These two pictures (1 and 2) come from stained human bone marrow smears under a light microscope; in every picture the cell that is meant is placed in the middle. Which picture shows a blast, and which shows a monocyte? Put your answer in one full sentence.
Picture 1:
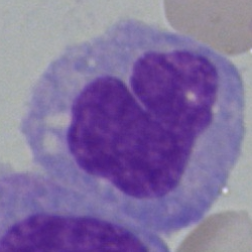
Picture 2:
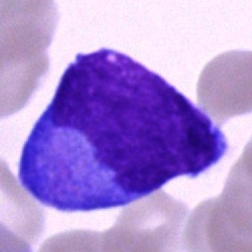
Picture 1 shows a monocyte and picture 2 shows a blast.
